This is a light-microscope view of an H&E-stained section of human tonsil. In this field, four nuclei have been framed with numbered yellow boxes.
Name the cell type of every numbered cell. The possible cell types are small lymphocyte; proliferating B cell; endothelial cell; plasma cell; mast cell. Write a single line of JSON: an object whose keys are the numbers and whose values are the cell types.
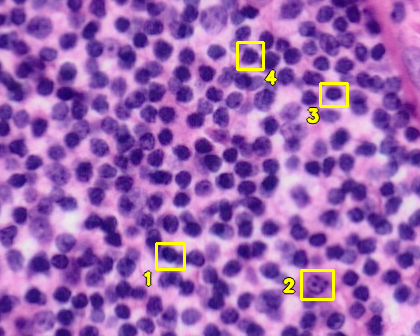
{"1": "small lymphocyte", "2": "plasma cell", "3": "small lymphocyte", "4": "small lymphocyte"}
